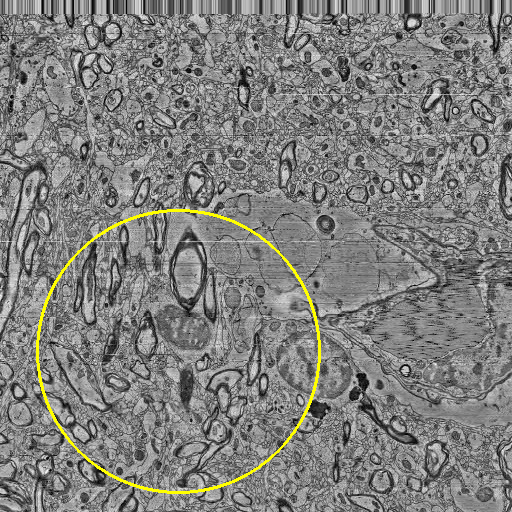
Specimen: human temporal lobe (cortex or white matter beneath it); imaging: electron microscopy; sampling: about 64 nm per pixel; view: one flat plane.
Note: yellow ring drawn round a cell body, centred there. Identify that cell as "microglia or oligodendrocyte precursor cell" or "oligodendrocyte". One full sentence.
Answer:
The cell in the middle of the ring is an oligodendrocyte.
